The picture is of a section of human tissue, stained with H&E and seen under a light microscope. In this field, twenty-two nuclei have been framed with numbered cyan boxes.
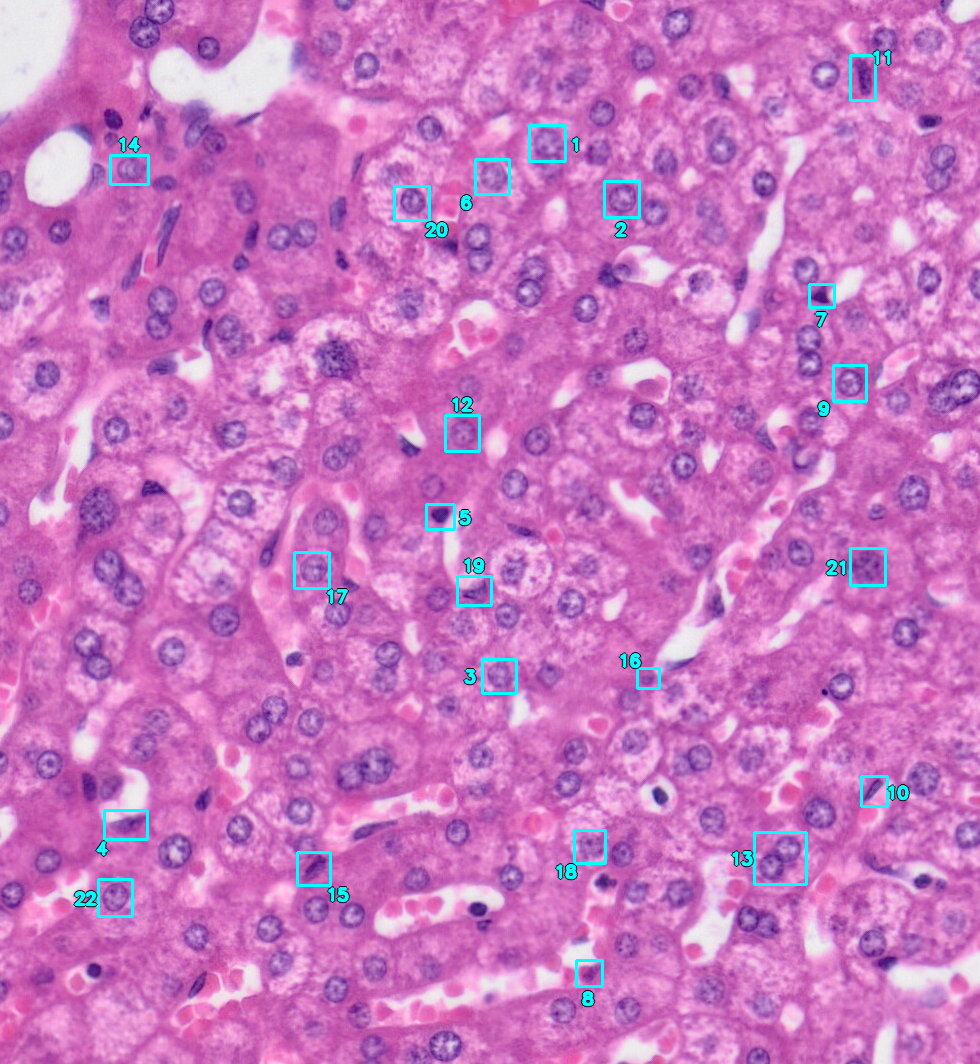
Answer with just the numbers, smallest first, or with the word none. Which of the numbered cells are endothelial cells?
4, 8, 10, 19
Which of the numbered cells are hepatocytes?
1, 2, 3, 6, 9, 12, 13, 17, 18, 20, 21, 22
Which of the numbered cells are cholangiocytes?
14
